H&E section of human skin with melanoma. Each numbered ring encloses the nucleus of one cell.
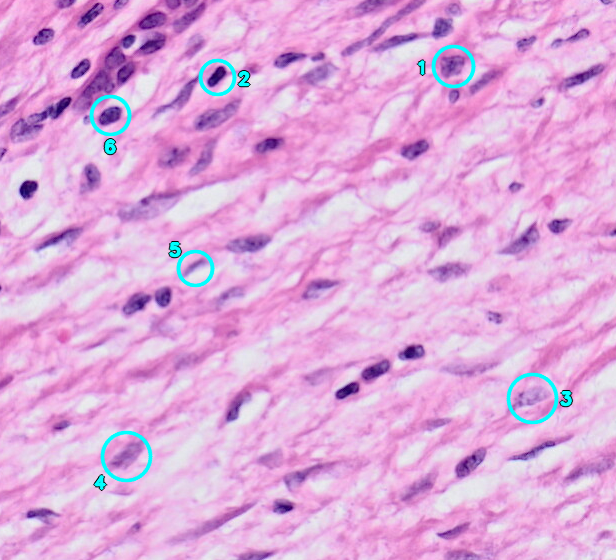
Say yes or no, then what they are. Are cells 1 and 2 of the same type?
No, cell 1 is a macrophage or monocyte, and cell 2 is a lymphocyte.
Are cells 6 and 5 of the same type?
No, cell 6 is a lymphocyte, and cell 5 is a fibroblast or myofibroblast.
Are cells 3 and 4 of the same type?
Yes, the cells bearing numbers 3 and 4 are both fibroblasts or myofibroblasts.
